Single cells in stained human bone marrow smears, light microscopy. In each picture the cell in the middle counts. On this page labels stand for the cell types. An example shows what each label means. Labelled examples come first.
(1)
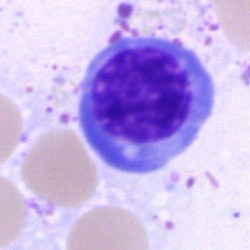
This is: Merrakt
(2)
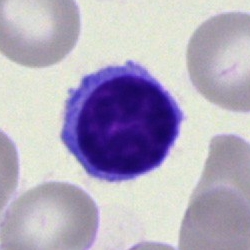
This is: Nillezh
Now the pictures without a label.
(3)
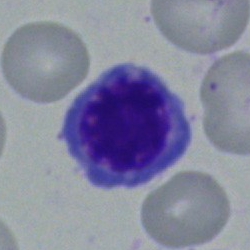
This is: Merrakt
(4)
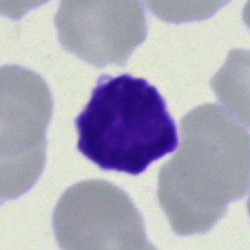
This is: Nillezh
